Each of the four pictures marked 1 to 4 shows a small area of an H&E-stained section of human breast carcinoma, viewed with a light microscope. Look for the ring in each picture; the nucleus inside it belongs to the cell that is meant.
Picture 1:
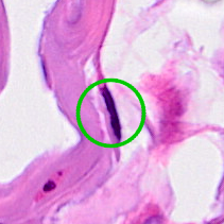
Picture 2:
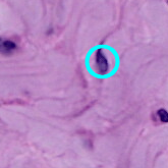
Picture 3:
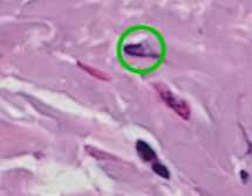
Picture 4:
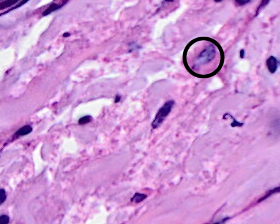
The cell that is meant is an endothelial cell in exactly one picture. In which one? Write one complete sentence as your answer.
The endothelial cell is the one in picture 4.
